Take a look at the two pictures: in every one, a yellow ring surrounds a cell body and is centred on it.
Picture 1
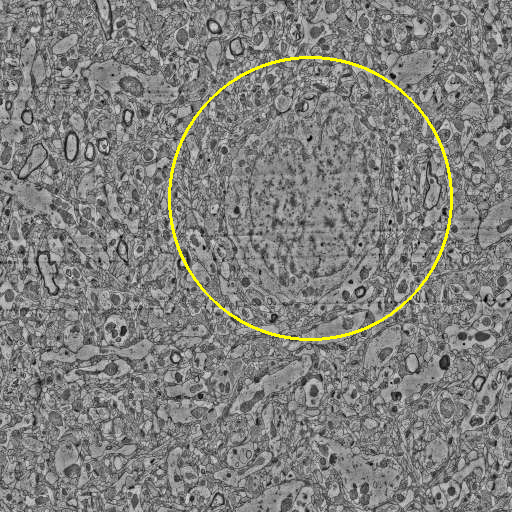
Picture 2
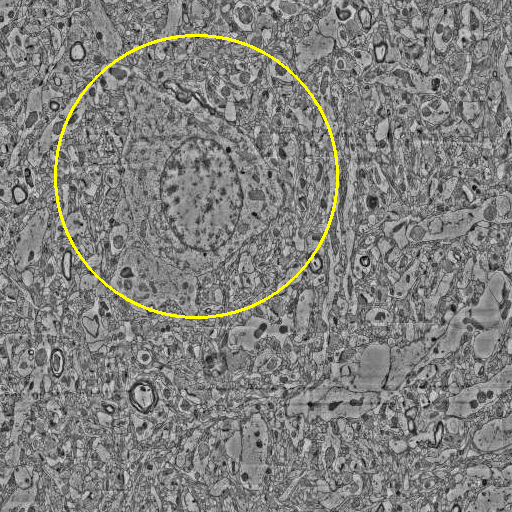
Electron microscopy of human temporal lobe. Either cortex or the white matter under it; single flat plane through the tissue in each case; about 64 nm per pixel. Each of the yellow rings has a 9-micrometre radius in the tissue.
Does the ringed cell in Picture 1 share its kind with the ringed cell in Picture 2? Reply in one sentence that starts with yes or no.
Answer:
No, the two centred cells, one per picture, are of two kinds.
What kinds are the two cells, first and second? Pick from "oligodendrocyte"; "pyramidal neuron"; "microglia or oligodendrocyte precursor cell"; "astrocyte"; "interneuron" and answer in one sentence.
The second picture holds a pyramidal neuron in its ring, and the first holds an interneuron.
